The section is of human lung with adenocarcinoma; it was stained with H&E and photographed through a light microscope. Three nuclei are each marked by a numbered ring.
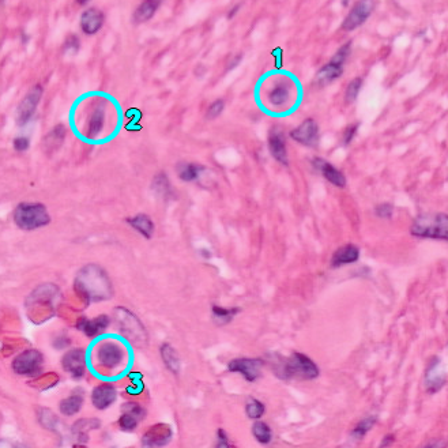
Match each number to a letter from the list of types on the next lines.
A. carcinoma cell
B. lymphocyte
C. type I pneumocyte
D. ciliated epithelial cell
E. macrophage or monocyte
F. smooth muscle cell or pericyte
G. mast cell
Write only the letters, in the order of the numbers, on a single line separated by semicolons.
F; F; B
